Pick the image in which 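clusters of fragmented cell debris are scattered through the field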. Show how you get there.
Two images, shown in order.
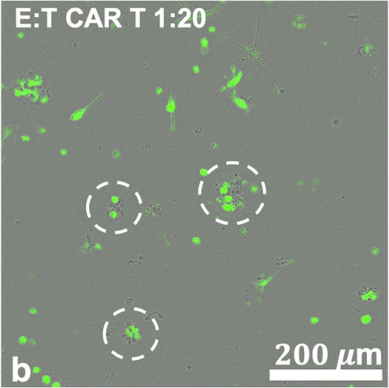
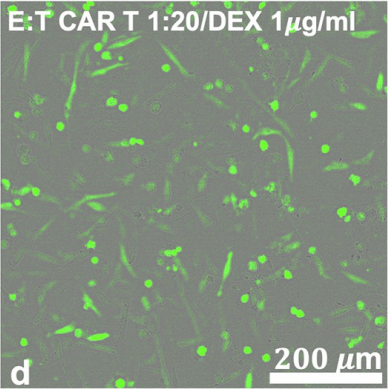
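Second image: the field is filled with many intact elongated and round green cells and no clumps of debris stand out. First image: the field is sparse, with several clumps of small green fragments and dark granular debris.
Conclusion: the first image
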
